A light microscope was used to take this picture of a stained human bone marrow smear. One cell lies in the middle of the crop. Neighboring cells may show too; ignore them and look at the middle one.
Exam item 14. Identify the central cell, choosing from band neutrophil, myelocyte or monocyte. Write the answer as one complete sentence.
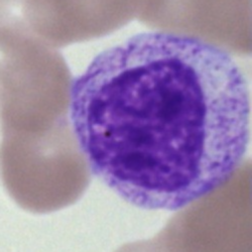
As for the central cell, it is a myelocyte.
